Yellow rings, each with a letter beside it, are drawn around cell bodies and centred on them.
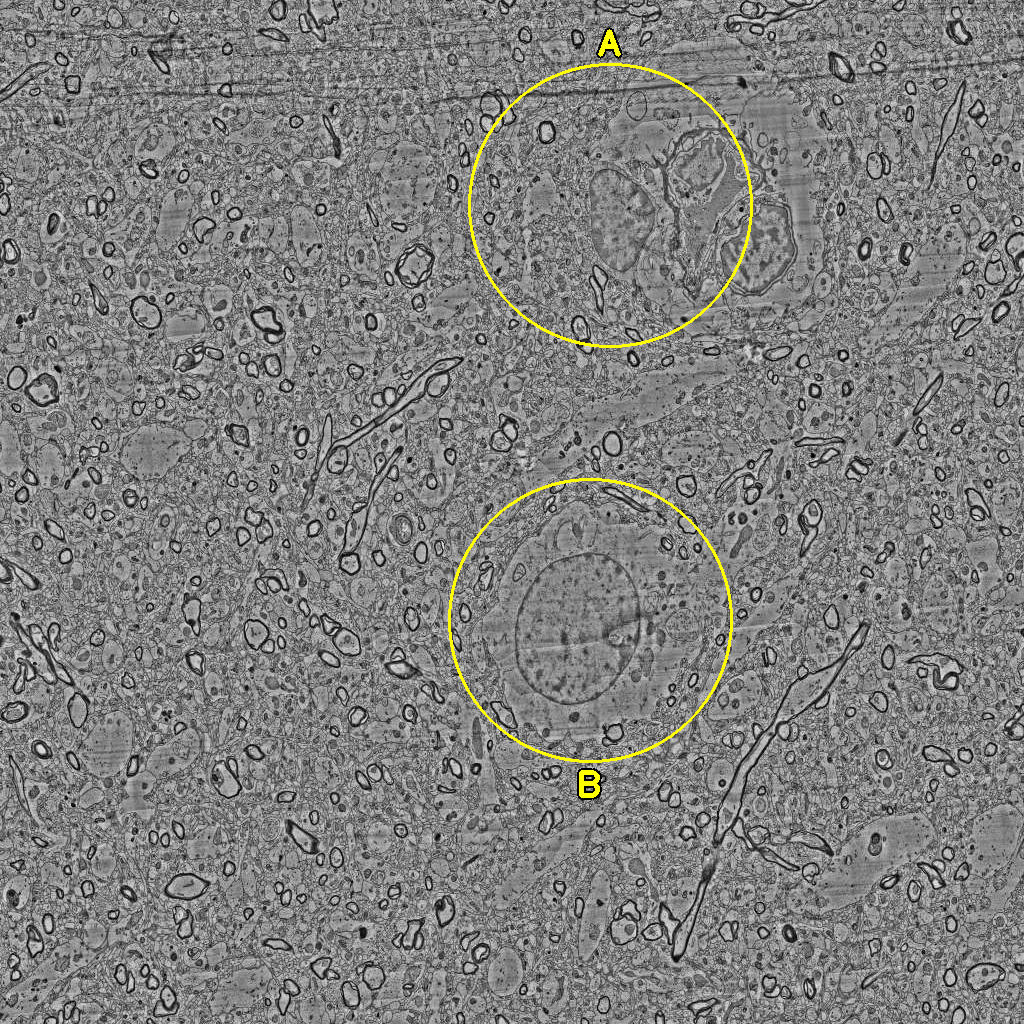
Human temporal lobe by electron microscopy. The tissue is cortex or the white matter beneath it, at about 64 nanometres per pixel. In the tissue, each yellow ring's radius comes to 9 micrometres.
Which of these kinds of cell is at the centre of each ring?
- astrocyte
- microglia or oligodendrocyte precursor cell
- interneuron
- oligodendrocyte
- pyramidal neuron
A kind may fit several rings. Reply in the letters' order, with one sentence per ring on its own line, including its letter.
The cell in the middle of ring A is an oligodendrocyte.
The cell in the middle of ring B is an astrocyte.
